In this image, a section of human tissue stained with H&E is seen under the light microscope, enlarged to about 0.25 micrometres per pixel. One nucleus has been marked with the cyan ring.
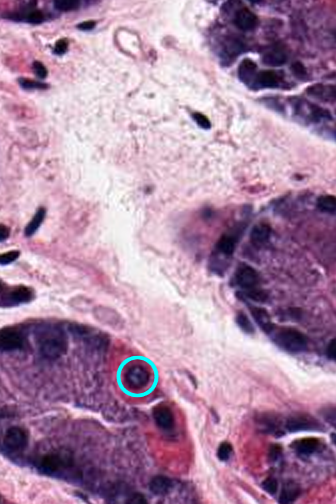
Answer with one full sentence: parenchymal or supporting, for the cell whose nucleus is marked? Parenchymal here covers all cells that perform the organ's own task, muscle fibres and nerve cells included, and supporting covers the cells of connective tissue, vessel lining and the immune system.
The marked nucleus is part of the parenchyma, belonging to a parietal cell.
